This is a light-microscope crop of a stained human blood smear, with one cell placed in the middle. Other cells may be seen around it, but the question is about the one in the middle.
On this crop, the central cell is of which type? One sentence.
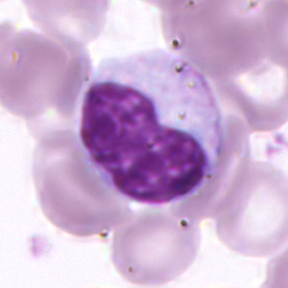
Whatever else lies nearby, the middle cell is a metamyelocyte.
